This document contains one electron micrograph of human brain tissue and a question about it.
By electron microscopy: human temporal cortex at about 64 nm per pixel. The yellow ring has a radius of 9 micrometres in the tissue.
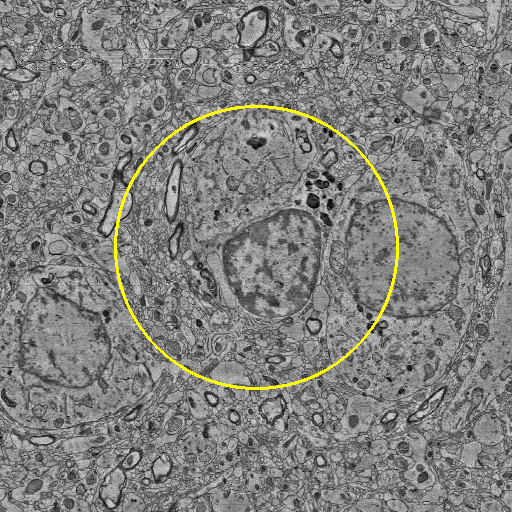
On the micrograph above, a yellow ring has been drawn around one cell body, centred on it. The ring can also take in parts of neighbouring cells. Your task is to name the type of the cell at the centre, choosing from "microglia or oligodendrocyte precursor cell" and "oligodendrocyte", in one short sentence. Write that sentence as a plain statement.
Here the ring is centred on a microglial cell or oligodendrocyte precursor cell.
